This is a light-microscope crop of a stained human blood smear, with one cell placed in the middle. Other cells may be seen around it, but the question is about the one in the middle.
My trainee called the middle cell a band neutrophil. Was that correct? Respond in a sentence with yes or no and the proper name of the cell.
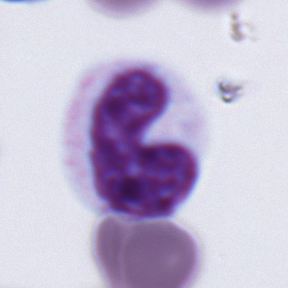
Yes, the cell in the middle is rightly called a band neutrophil.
